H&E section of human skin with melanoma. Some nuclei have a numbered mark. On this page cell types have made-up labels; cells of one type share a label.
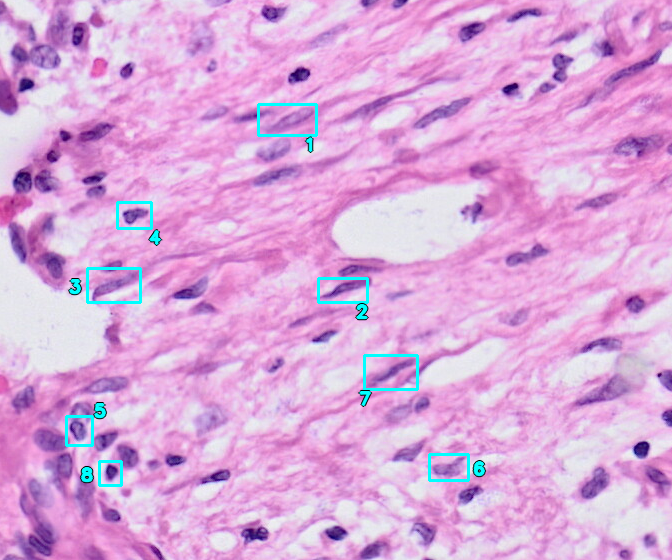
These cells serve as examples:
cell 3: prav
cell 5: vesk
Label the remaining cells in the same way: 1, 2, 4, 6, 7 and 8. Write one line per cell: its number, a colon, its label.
1: prav
2: prav
4: vesk
6: prav
7: prav
8: vesk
